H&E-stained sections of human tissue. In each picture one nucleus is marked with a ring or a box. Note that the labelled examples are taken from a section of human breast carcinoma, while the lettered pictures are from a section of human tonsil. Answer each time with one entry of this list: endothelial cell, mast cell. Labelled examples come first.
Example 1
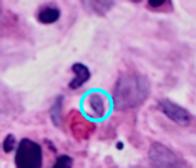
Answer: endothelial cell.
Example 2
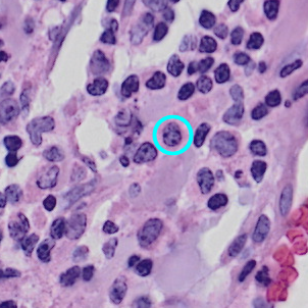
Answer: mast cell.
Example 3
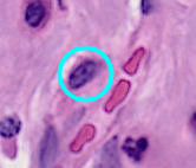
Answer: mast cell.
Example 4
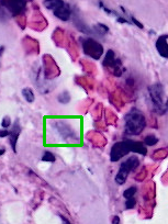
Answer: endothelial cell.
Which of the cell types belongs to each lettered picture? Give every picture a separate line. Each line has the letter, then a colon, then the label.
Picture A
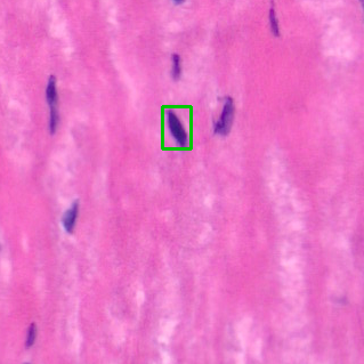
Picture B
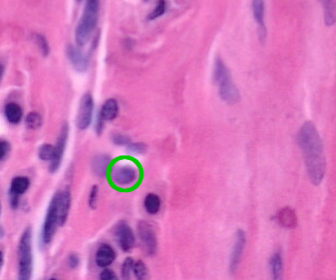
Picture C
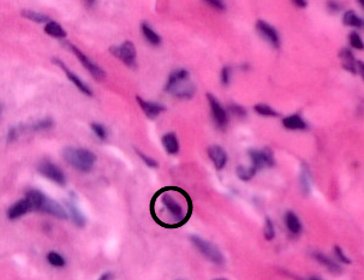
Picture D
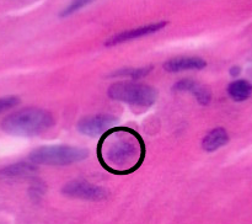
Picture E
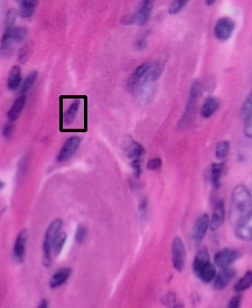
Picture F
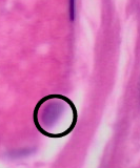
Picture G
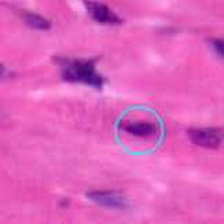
A: mast cell.
B: endothelial cell.
C: mast cell.
D: endothelial cell.
E: mast cell.
F: endothelial cell.
G: mast cell.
